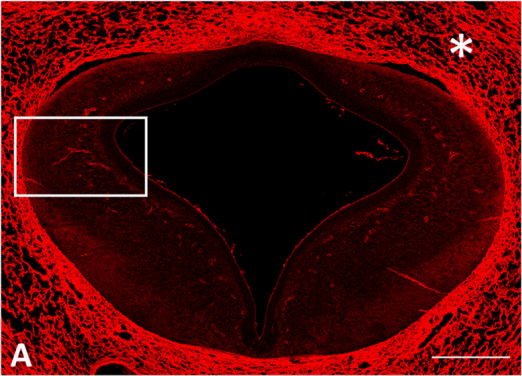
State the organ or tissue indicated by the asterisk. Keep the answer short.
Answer: Mesenchyme.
